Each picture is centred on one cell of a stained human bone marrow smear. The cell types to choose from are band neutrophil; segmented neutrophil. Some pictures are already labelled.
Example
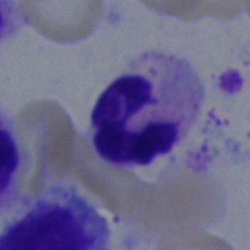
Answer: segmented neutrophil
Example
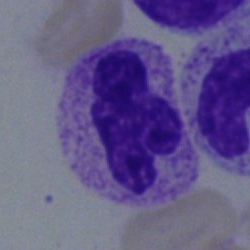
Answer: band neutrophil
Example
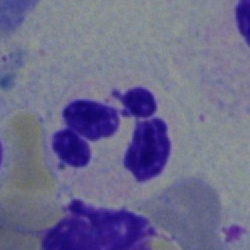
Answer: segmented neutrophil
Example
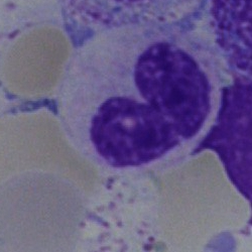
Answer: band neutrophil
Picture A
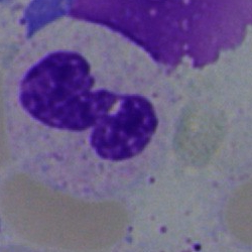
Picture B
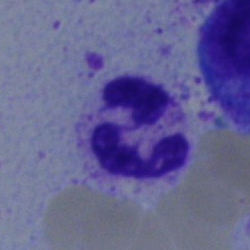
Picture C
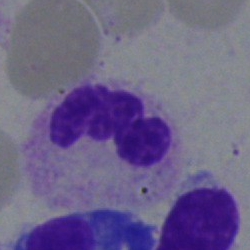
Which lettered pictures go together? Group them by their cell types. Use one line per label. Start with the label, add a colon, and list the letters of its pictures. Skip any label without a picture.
segmented neutrophil: A, B, C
